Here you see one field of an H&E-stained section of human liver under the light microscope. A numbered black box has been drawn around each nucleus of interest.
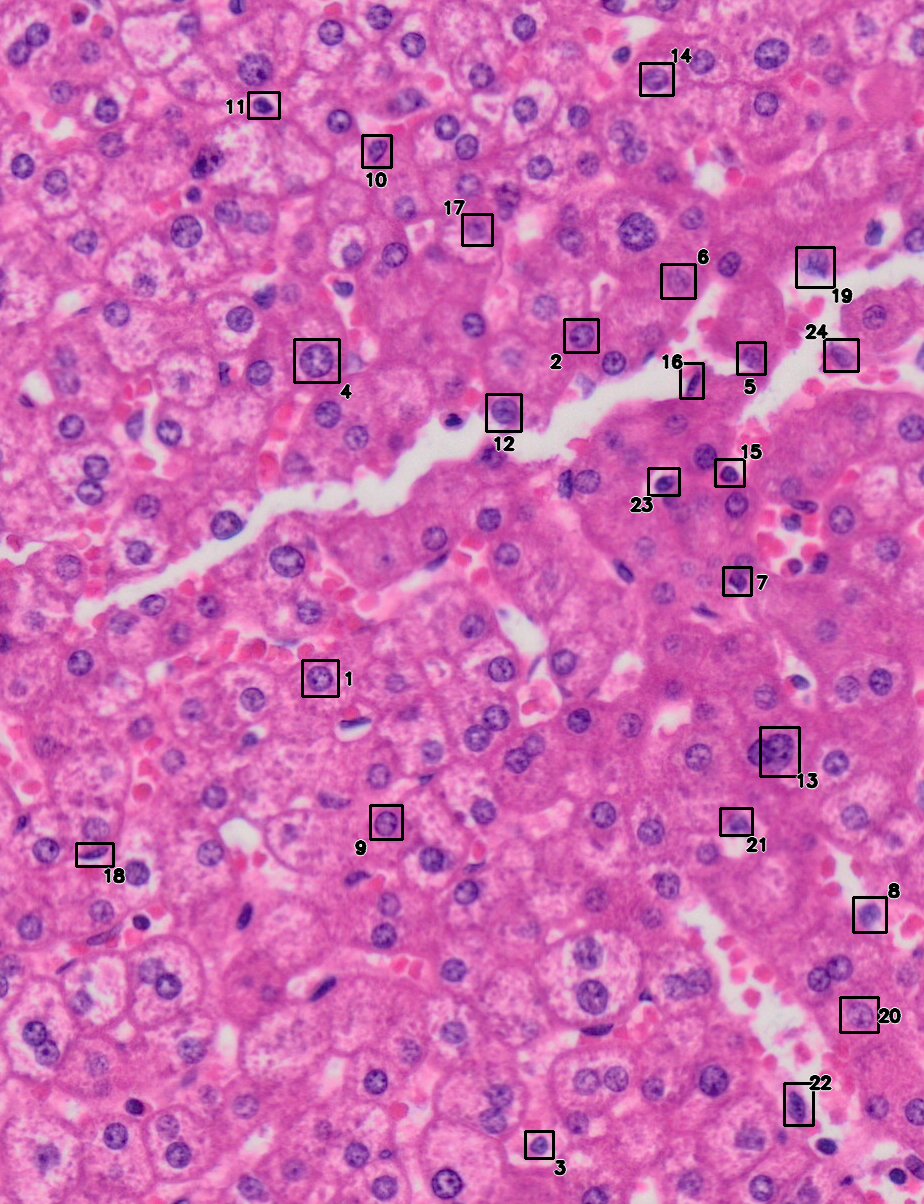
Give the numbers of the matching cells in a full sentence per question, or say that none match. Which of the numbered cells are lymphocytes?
The cells carrying the numbers 3, 11, 15 and 23 are lymphocytes.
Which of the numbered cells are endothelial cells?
The cells marked with the numbers 8, 18 and 19 are endothelial cells.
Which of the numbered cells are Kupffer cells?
Each of the cells numbered 21, 22 and 24 is among the Kupffer cells.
